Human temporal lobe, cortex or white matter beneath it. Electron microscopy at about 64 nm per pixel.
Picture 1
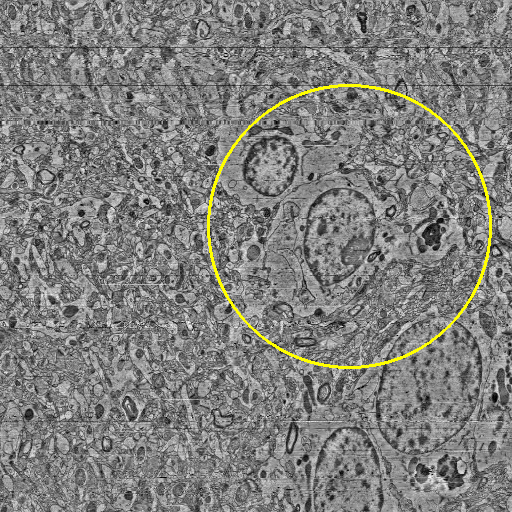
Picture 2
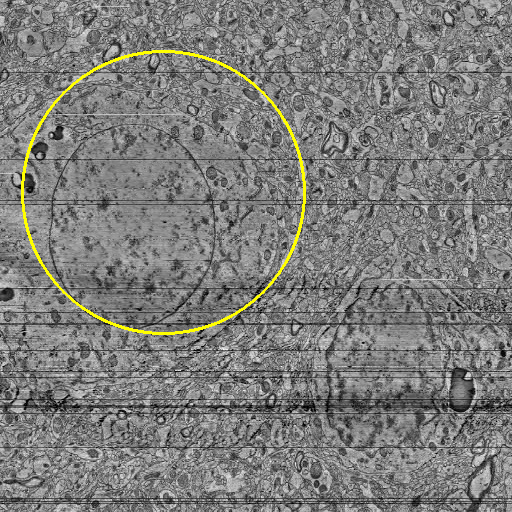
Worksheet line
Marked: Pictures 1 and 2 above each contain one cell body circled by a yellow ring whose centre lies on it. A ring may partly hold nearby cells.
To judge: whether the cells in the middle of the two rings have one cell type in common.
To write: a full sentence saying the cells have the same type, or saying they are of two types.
The cells in the middle of the rings in Picture 1 and Picture 2 are of two types.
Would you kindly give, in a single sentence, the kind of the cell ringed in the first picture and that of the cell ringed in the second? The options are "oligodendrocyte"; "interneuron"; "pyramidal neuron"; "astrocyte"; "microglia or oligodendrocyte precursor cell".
The second cell is a pyramidal neuron, and the first cell is an astrocyte.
